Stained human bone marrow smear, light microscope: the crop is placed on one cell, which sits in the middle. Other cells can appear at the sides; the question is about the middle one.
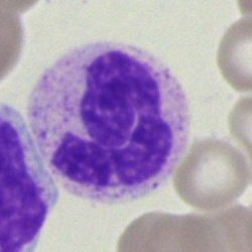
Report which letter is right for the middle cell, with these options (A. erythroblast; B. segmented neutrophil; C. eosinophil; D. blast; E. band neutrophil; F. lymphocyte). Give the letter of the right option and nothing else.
B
